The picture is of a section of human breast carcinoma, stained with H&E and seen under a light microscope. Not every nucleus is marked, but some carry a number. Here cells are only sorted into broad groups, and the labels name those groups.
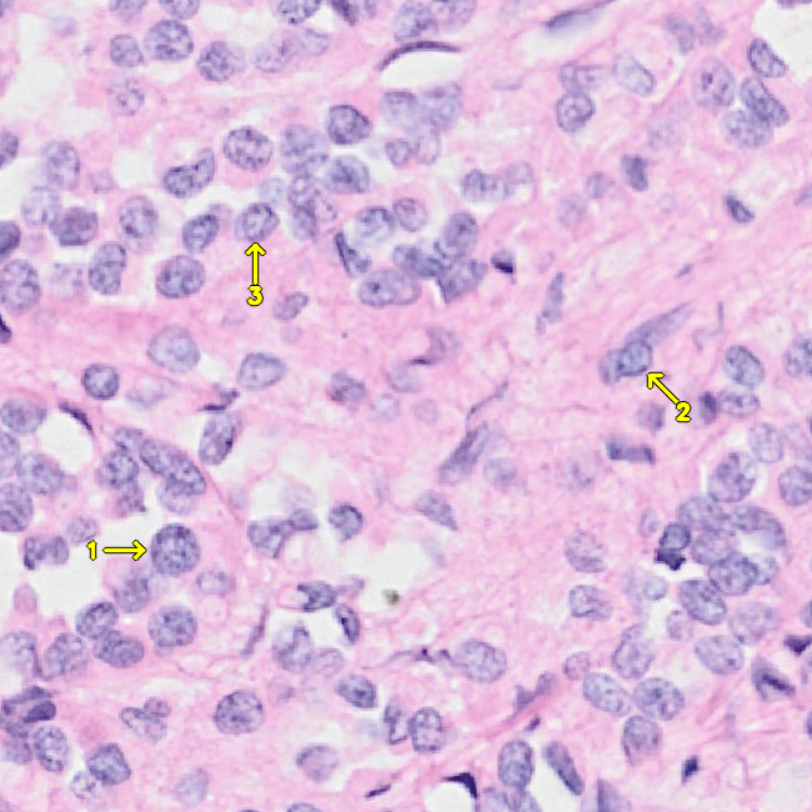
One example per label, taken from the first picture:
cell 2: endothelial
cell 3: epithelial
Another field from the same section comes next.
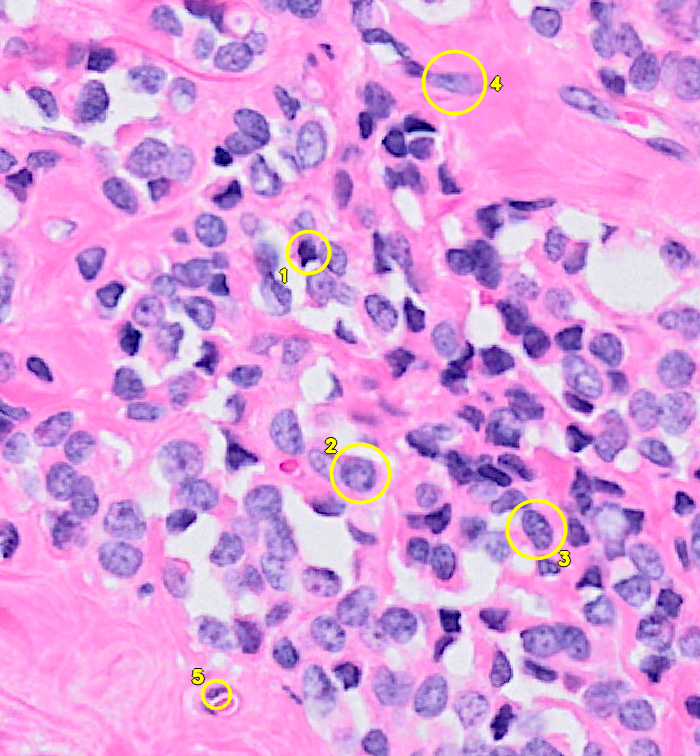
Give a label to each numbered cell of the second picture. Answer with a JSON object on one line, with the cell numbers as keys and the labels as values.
{"1": "epithelial", "2": "epithelial", "3": "epithelial", "4": "endothelial", "5": "endothelial"}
